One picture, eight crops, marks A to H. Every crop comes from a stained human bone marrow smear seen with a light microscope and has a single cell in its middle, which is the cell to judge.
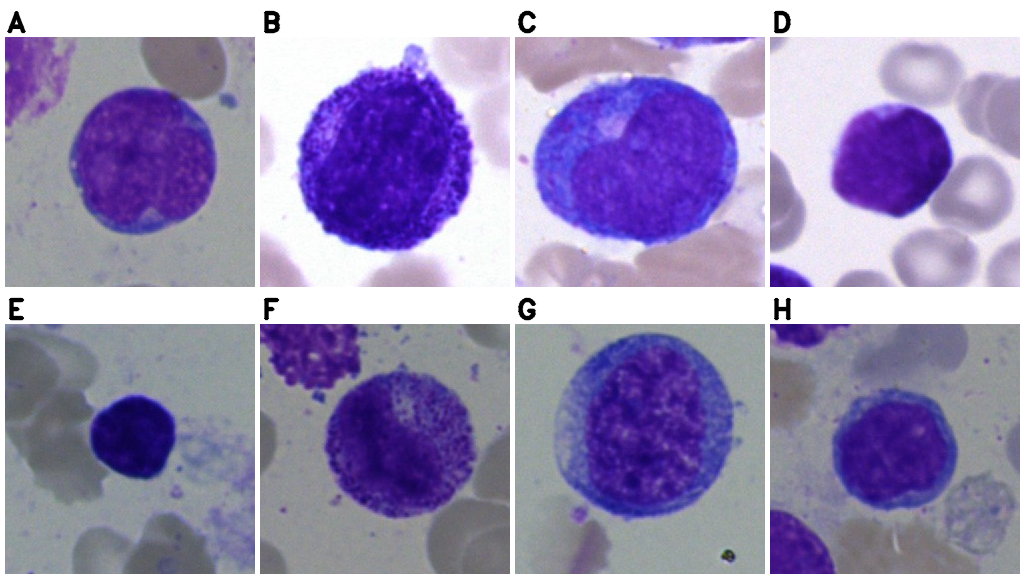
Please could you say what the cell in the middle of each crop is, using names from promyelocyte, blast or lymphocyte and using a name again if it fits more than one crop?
A: blast
B: promyelocyte
C: promyelocyte
D: lymphocyte
E: lymphocyte
F: promyelocyte
G: blast
H: lymphocyte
